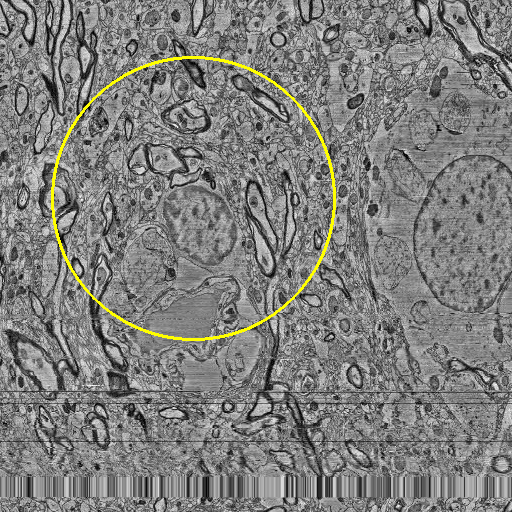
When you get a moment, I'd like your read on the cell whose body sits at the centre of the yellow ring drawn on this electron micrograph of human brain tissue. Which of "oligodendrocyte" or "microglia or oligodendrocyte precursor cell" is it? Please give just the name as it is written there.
oligodendrocyte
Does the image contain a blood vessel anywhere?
Yes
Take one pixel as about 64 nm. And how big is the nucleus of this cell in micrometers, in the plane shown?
In this plane, approximately 6 by 4 micrometers.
